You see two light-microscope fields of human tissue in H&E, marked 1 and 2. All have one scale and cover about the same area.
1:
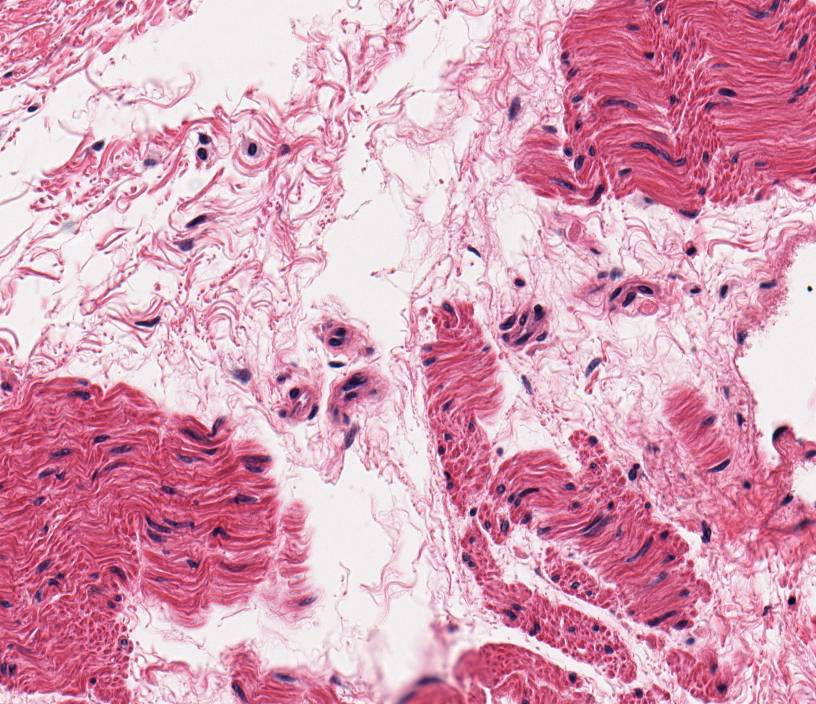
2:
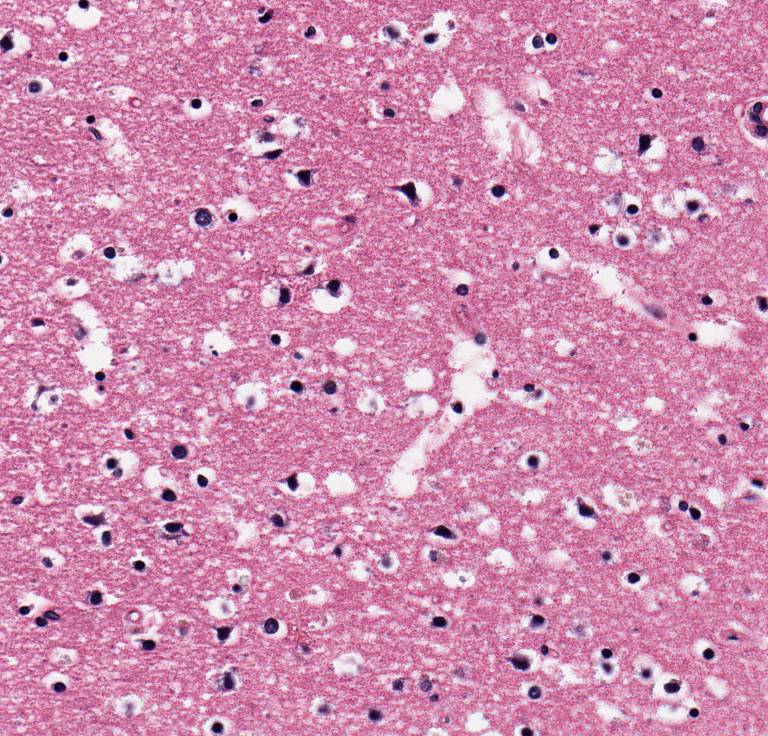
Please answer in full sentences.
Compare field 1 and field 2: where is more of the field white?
Unstained space takes up more of field 1 than of field 2.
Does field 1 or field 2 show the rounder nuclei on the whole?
Rounder nuclei lie in field 2.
